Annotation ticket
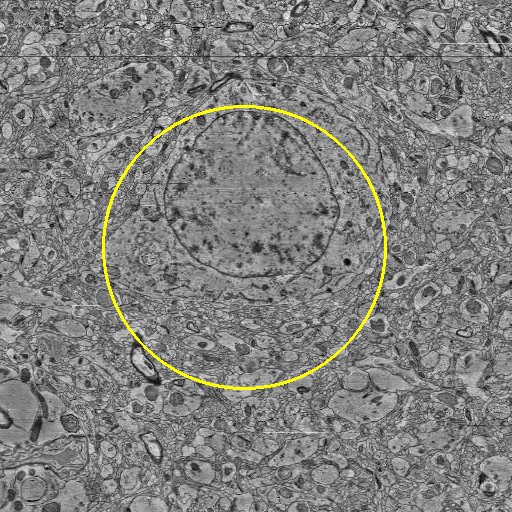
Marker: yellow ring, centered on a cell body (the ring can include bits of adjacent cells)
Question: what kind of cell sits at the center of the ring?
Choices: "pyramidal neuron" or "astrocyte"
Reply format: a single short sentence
The ring is centered on a pyramidal neuron.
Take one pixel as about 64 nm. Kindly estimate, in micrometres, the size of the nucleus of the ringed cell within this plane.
In this plane the nucleus is about 11 micrometres across.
